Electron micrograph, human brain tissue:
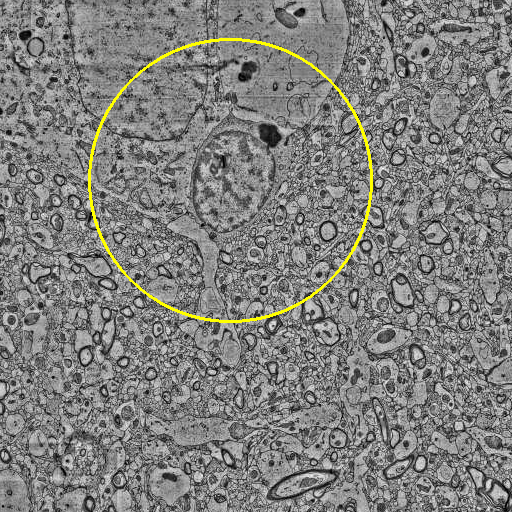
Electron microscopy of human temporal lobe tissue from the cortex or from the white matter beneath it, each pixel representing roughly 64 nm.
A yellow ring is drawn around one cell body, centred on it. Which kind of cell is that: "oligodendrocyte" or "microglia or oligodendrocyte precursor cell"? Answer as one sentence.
It is an oligodendrocyte at the centre of the ring.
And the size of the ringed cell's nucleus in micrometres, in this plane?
The nucleus works out at approximately 7 by 5 micrometres in this plane.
